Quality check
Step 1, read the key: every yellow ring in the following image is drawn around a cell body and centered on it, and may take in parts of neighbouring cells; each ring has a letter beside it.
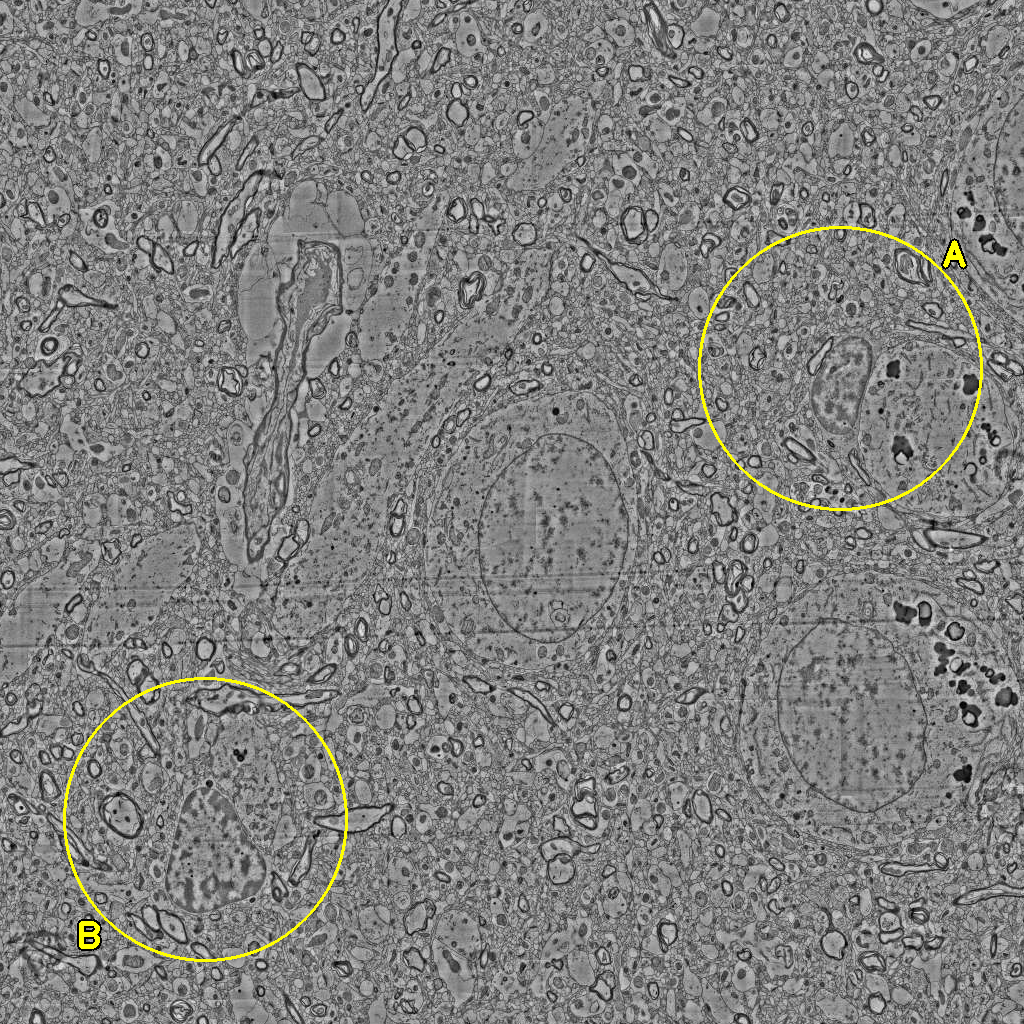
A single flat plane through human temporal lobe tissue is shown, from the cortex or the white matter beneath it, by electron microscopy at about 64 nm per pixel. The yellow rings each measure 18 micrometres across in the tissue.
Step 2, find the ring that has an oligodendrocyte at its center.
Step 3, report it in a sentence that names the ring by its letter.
Ring A is centered on that cell.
